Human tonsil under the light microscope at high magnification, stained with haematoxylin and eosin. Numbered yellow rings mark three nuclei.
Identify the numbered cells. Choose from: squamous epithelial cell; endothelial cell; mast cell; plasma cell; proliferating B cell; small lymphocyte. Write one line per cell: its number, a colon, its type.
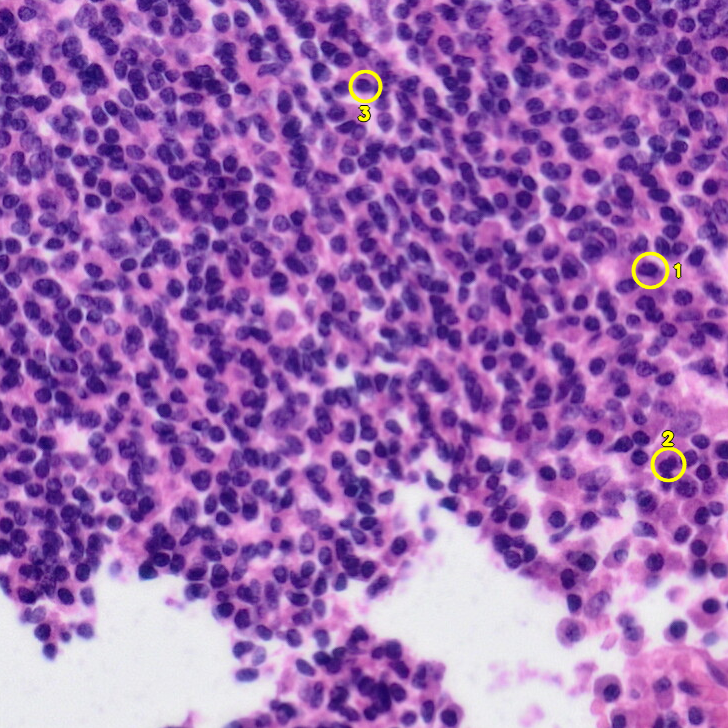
1: plasma cell
2: plasma cell
3: small lymphocyte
